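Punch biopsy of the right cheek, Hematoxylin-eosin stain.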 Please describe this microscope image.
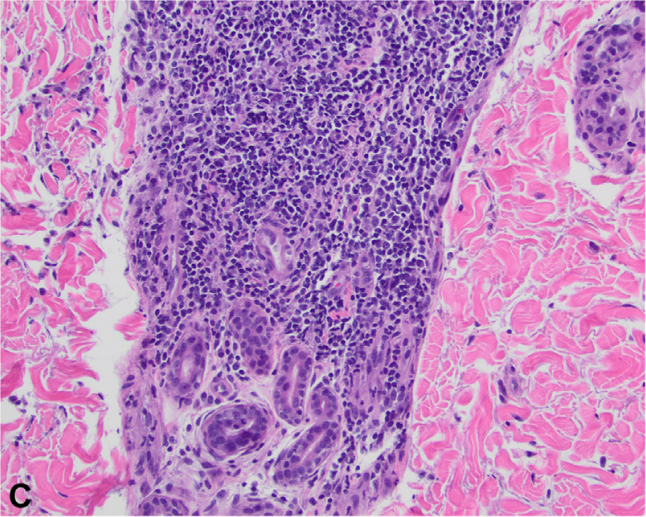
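This is dermis with a dense infiltrate of predominantly lymphocytes: small cells with round, dark purple nuclei and very little cytoplasm, packed closely together. The infiltrate surrounds a small vessel and lies beside glandular tubules lined by cuboidal cells with paler pink cytoplasm. On either side, pink wavy collagen bundles of the dermis contain only scattered cells.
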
